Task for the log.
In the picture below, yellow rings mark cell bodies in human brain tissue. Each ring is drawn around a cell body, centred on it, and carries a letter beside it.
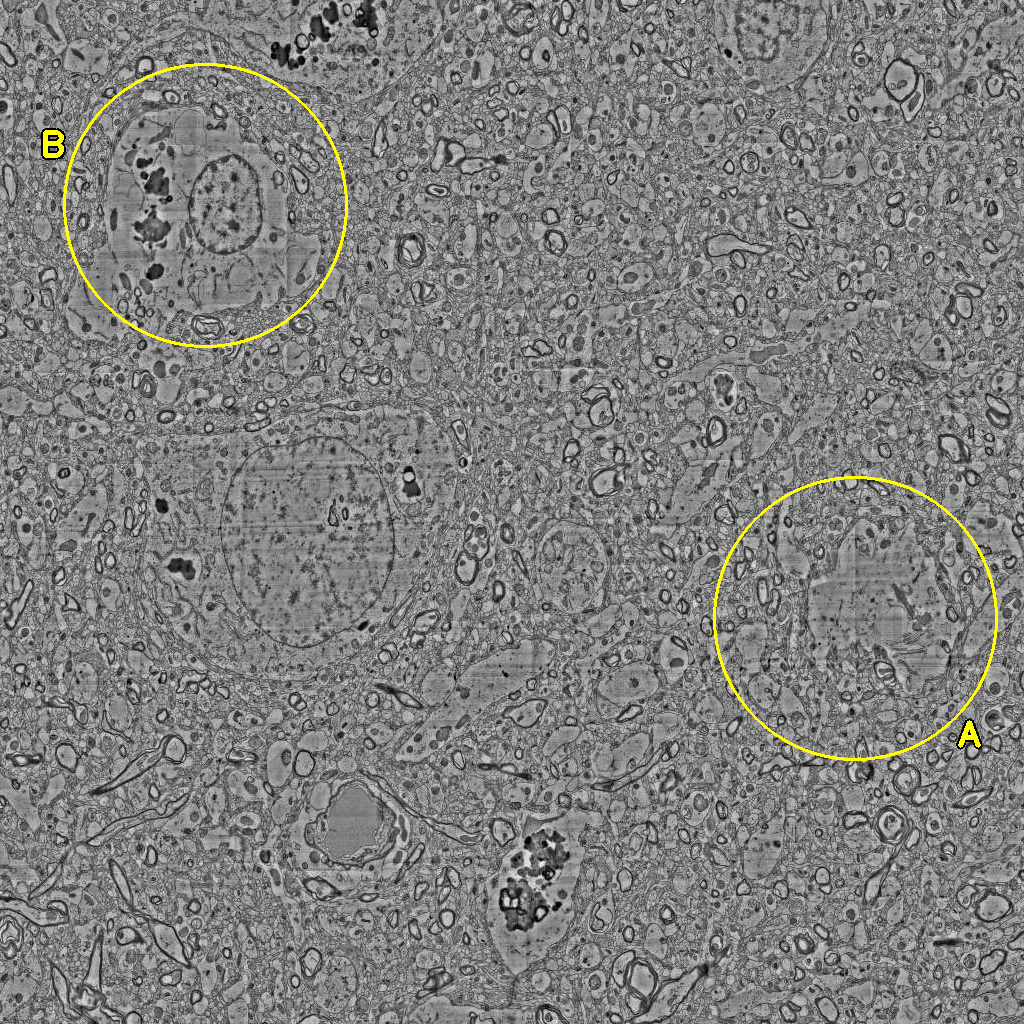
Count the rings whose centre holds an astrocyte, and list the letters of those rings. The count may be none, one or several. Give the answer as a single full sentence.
There exist two rings lettered A and B, and an astrocyte lies at the centre of each.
